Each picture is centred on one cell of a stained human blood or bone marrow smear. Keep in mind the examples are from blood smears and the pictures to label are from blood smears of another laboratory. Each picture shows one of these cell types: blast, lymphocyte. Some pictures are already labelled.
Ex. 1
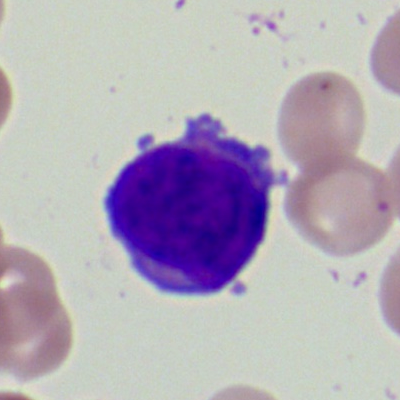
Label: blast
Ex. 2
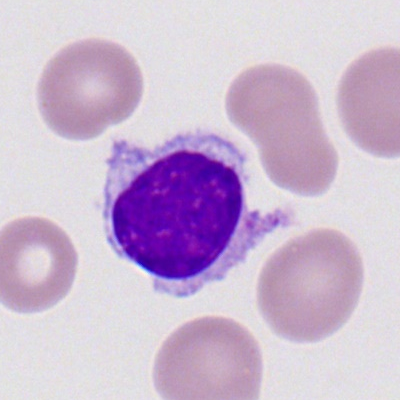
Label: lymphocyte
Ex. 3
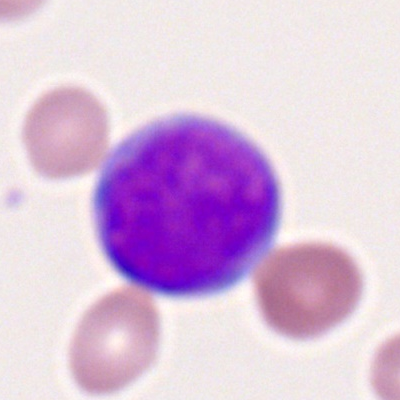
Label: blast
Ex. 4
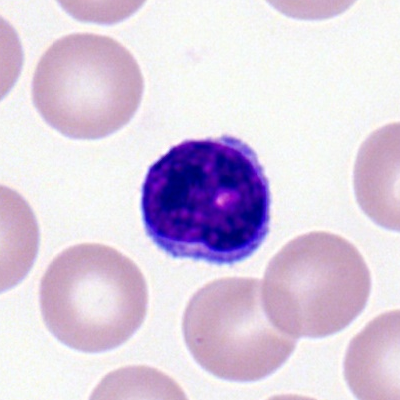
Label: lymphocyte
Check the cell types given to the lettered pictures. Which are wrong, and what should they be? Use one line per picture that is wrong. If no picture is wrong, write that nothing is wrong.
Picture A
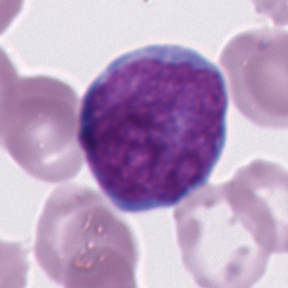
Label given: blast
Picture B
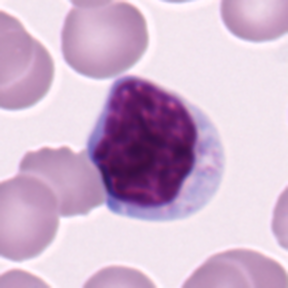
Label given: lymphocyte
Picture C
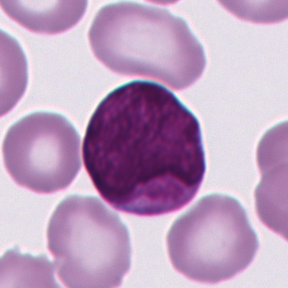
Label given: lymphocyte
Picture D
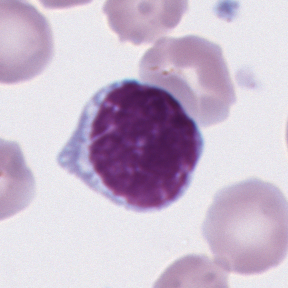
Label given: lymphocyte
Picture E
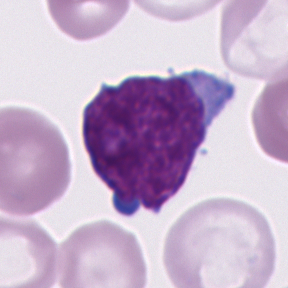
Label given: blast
C: change lymphocyte to blast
